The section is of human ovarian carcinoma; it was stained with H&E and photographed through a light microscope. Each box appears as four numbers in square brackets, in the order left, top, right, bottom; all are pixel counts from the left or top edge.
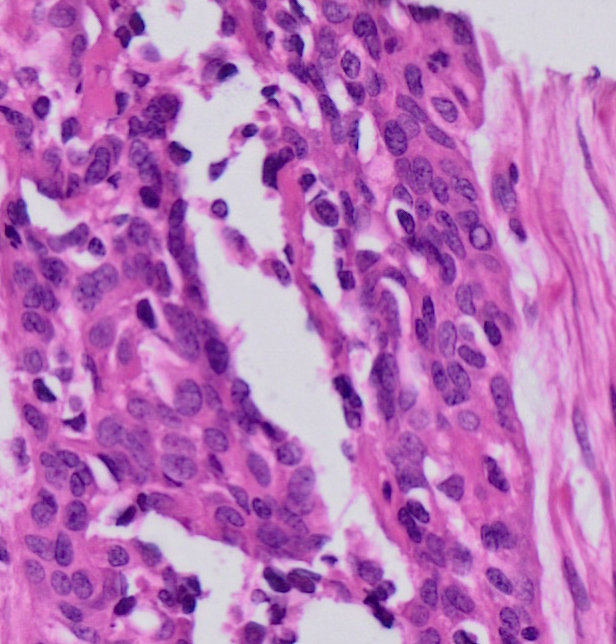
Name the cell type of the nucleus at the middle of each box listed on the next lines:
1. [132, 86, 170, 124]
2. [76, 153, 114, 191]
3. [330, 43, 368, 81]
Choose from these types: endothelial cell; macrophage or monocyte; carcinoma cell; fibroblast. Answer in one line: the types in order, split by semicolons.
carcinoma cell; carcinoma cell; macrophage or monocyte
